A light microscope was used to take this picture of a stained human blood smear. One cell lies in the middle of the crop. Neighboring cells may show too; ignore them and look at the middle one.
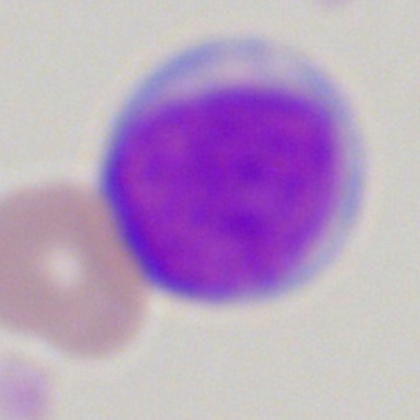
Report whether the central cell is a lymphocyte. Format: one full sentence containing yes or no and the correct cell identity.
Yes, in the centre of this field sits a lymphocyte.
